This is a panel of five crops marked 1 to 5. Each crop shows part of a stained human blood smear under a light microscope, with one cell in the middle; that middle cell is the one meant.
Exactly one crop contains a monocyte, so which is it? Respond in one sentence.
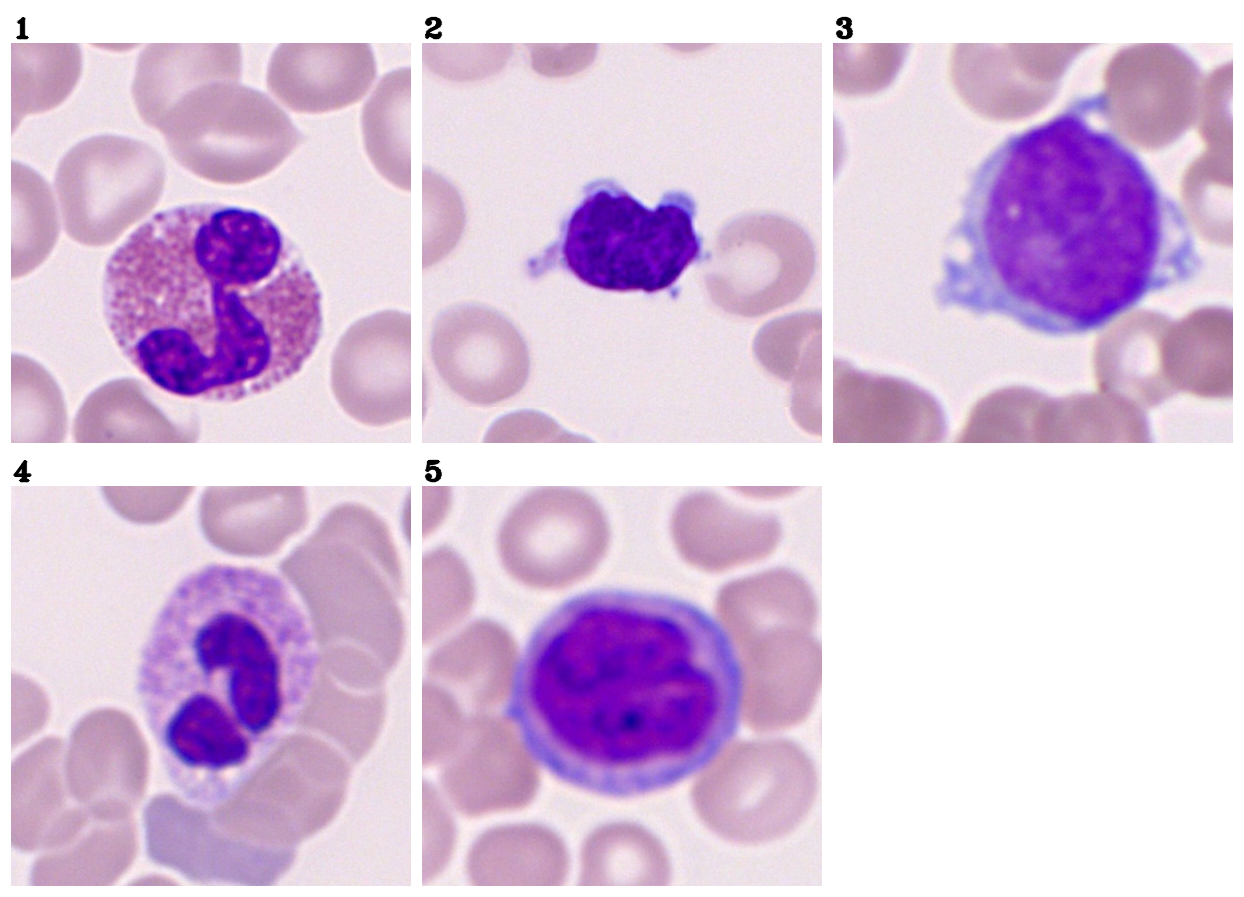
The cell at the center of crop 5 is the one that is a monocyte.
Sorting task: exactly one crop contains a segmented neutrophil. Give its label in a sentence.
The crop showing a segmented neutrophil in this series is crop 4.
